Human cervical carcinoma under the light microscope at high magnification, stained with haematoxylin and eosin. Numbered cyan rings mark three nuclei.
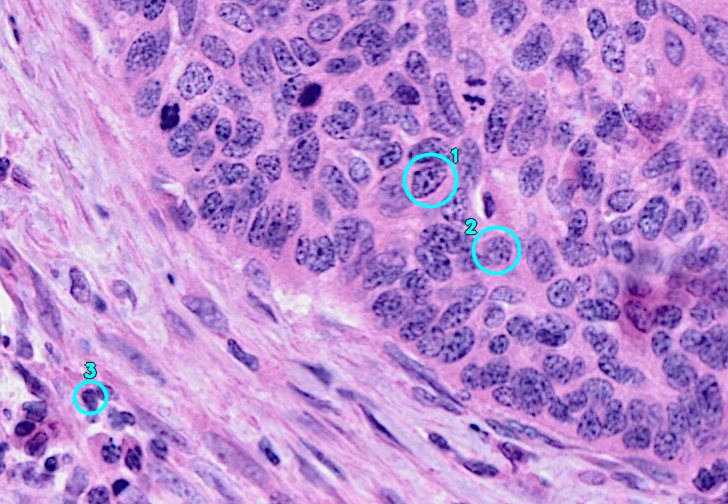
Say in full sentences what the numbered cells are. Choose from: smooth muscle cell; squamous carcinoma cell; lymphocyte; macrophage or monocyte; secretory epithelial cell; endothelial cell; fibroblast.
Cells 1 and 2 are squamous carcinoma cells. Cell 3 is a lymphocyte.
